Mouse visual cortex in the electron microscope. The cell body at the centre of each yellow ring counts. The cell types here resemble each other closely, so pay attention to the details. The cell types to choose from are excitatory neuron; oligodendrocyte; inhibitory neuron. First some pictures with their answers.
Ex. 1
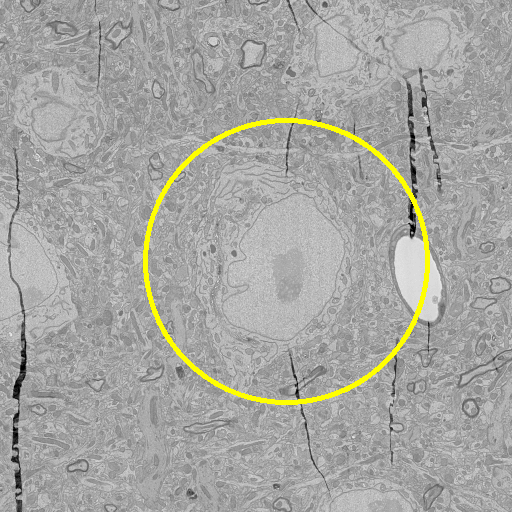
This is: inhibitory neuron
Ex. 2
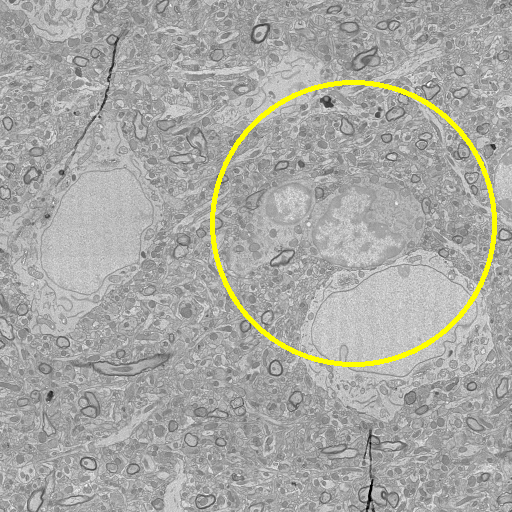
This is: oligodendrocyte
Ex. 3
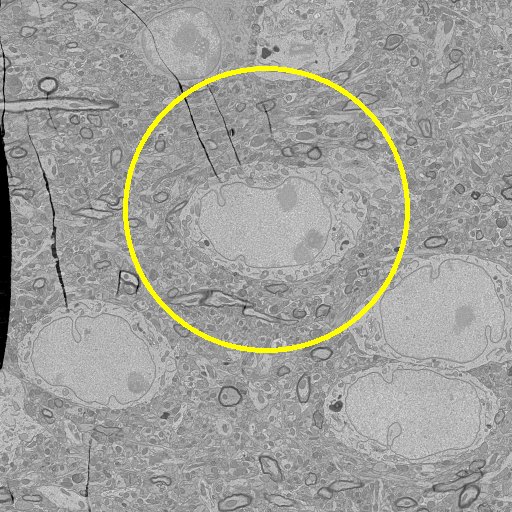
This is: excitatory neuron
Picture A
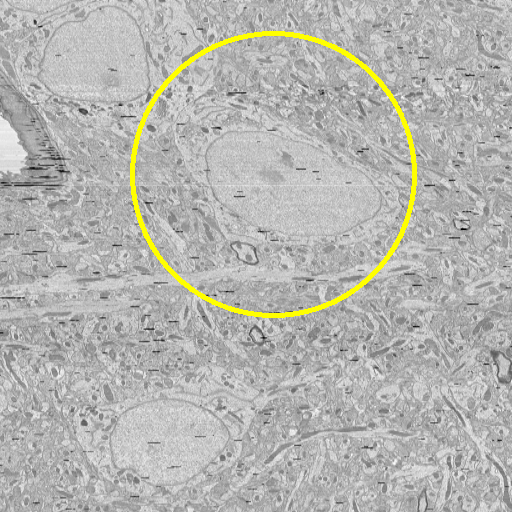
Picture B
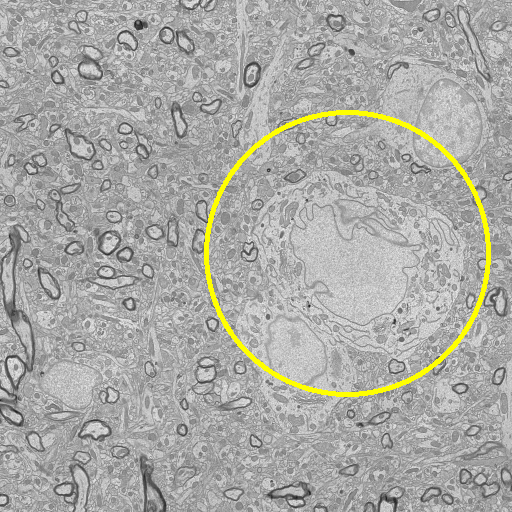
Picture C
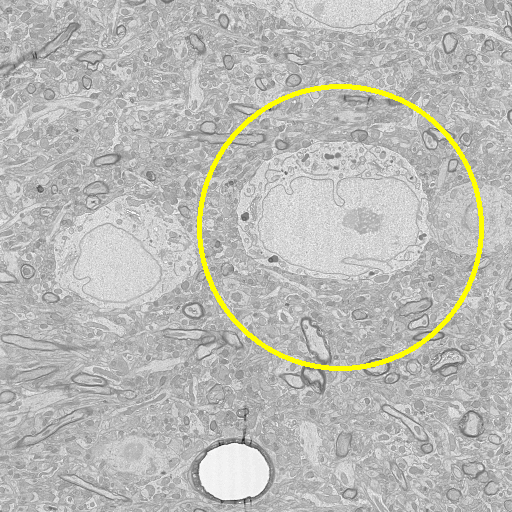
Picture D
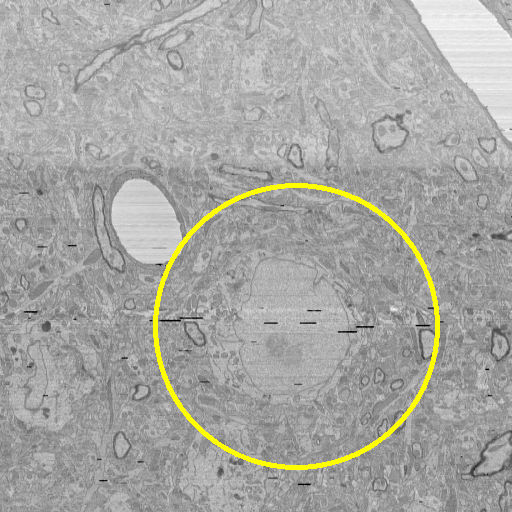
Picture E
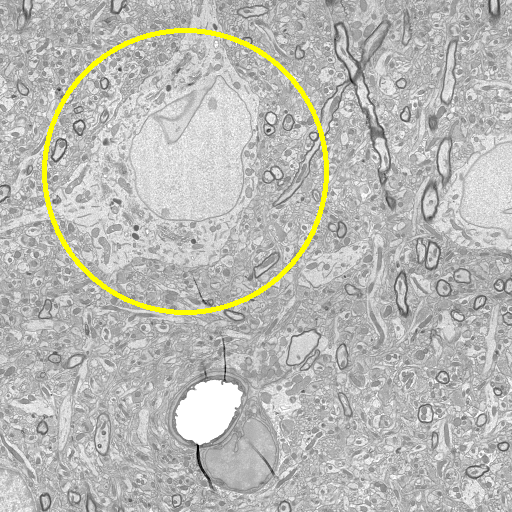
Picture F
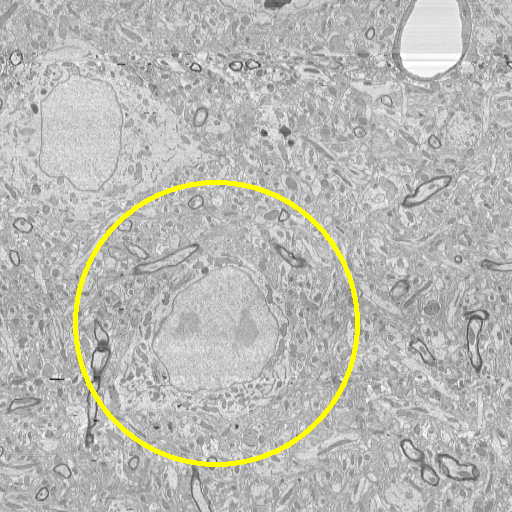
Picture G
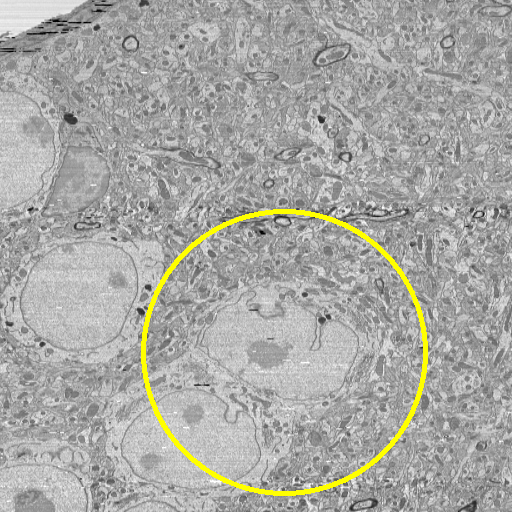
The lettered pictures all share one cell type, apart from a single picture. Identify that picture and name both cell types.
E: excitatory neuron; all the others: inhibitory neuron.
